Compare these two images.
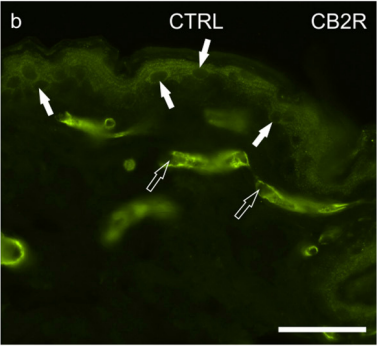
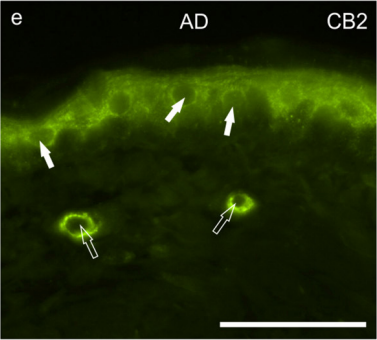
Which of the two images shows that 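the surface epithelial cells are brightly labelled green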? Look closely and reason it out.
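Second image: the surface layer forms a broad bright green band. First image: the surface layer shows only faint green labelling, much weaker than the vessels.
Answer: the second image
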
